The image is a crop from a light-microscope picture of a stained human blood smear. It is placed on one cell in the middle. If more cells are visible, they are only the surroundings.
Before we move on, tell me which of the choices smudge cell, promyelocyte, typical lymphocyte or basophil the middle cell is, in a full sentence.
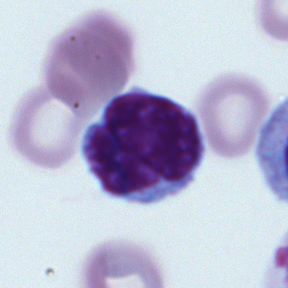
The cell at the middle of the frame should be recorded as a typical lymphocyte.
